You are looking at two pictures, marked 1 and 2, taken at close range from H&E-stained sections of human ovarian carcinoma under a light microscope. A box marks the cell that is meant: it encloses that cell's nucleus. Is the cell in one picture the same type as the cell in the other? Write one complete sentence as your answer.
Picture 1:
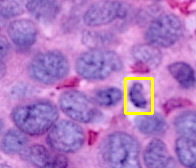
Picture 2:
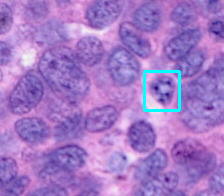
Yes, both cells are “macrophages or monocytes”.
